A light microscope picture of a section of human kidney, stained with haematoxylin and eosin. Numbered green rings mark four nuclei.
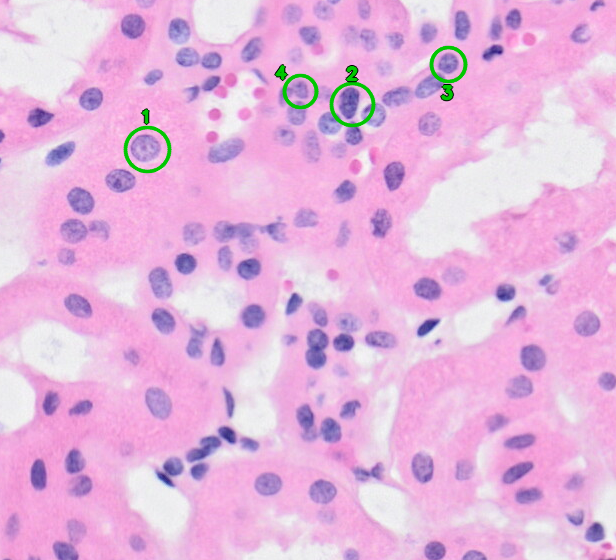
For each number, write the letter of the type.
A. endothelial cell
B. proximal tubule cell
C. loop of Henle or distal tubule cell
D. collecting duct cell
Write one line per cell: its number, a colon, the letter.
1: B
2: D
3: D
4: D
